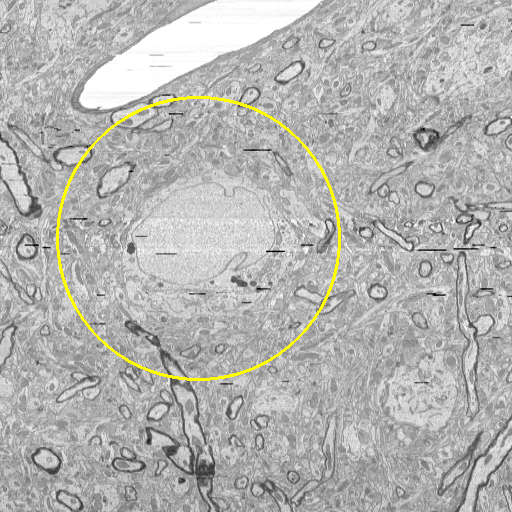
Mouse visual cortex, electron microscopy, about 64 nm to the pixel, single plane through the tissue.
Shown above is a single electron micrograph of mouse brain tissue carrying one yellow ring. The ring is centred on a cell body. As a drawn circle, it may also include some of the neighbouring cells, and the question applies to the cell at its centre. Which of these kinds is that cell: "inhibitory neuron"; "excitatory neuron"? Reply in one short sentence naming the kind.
The cell marked by the ring is an excitatory neuron.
